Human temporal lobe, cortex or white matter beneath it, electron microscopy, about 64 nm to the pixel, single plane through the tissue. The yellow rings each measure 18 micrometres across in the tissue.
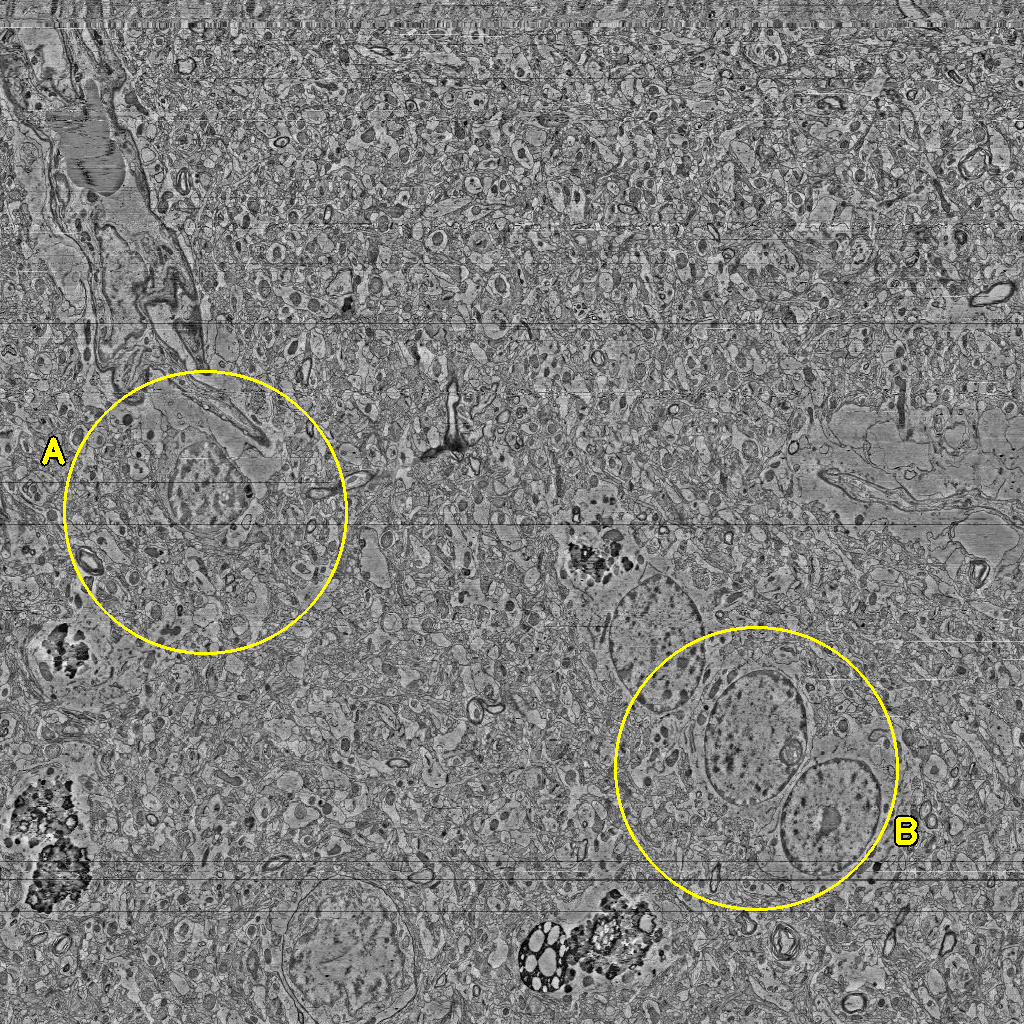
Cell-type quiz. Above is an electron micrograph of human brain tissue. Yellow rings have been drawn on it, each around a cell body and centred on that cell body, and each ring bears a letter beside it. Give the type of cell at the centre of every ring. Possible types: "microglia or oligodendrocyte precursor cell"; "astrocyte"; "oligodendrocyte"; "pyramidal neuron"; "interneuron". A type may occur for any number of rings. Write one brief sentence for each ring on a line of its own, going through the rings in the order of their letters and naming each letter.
Ring A is centred on the cell body of an oligodendrocyte.
Ring B is centred on the cell body of an astrocyte.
